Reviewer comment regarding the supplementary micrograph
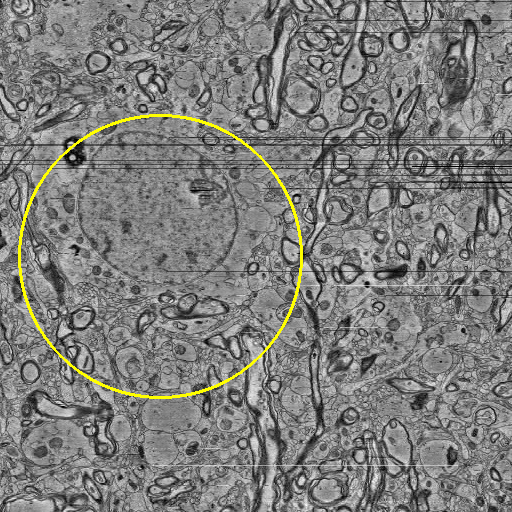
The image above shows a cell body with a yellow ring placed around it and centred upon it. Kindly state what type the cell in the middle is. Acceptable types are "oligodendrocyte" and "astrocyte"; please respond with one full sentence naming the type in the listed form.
In the image above, the cell on which the yellow ring is centred is an astrocyte.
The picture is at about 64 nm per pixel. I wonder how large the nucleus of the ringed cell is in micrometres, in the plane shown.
In this plane, approximately 10 micrometres across.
